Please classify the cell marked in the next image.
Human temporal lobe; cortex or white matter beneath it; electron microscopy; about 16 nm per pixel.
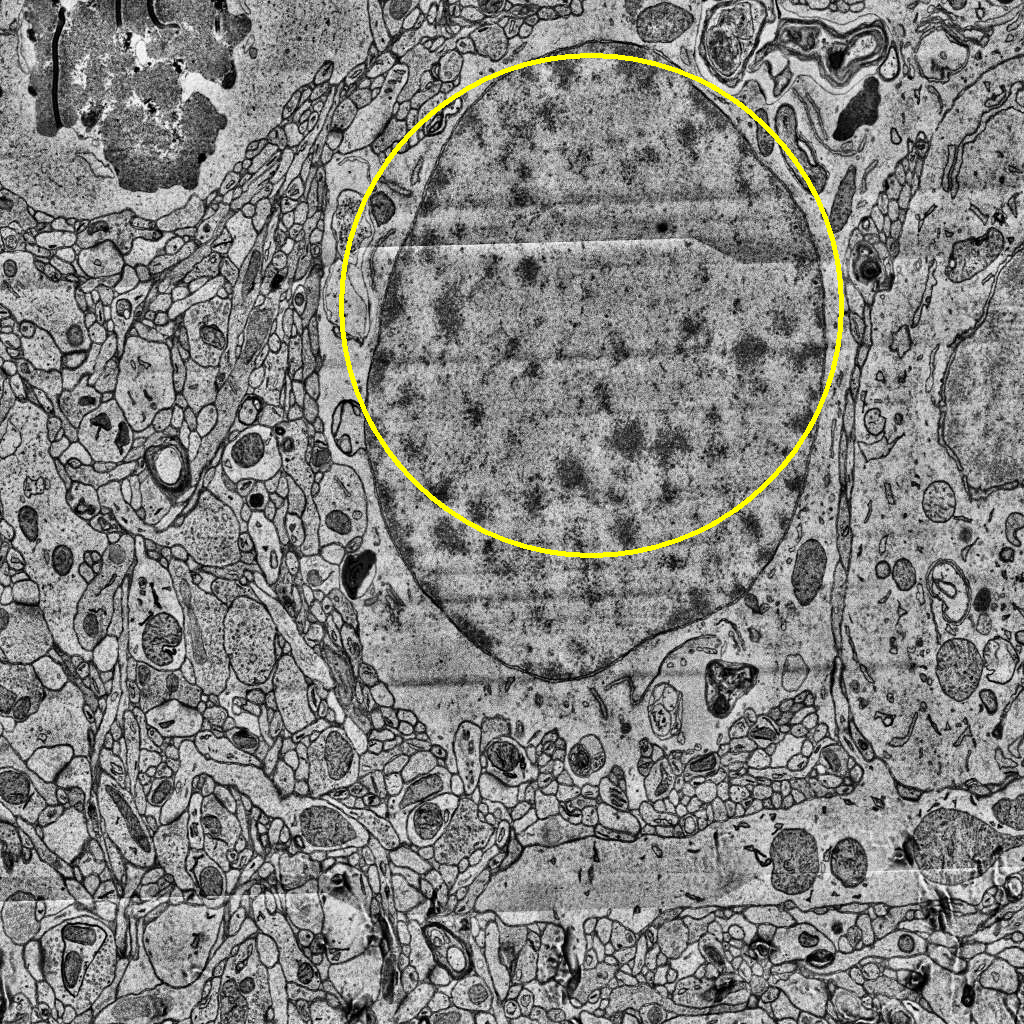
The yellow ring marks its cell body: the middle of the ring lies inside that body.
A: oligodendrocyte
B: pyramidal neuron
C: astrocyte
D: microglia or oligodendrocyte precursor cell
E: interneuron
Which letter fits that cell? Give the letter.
C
